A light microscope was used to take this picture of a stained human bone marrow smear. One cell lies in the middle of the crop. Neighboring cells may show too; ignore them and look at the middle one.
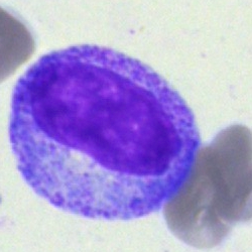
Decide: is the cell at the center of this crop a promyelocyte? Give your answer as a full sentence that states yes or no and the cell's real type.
Yes, a promyelocyte occupies the middle of the crop.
